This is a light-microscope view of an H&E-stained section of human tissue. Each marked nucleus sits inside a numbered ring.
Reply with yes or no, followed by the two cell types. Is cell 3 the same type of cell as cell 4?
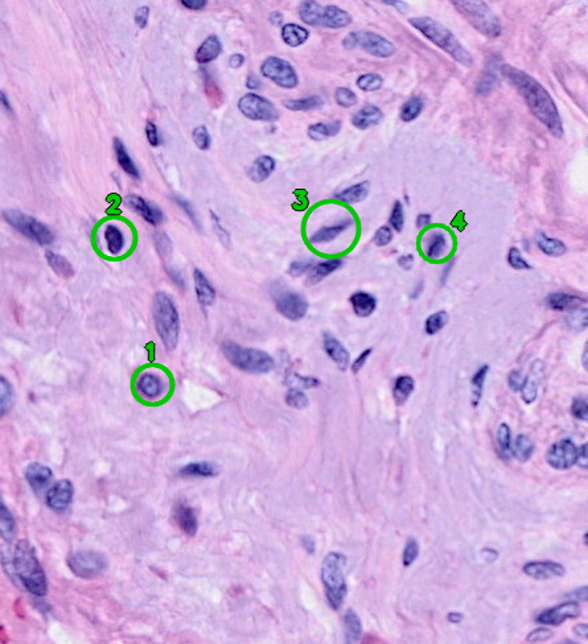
Yes, as for cells 3 and 4, both are fibroblasts.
